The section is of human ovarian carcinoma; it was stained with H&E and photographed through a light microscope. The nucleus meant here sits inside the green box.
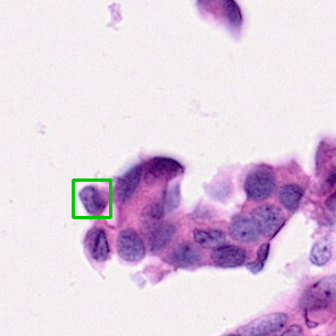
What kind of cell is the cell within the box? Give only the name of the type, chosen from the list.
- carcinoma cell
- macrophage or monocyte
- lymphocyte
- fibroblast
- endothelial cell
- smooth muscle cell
macrophage or monocyte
